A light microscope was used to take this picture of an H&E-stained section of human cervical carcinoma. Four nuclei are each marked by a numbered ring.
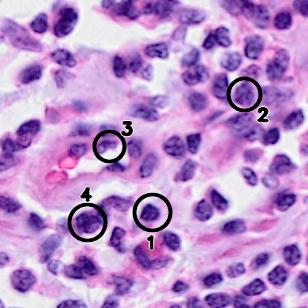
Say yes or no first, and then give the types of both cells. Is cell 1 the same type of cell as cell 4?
Yes, by their numbers, cells 1 and 4 are both lymphocytes.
